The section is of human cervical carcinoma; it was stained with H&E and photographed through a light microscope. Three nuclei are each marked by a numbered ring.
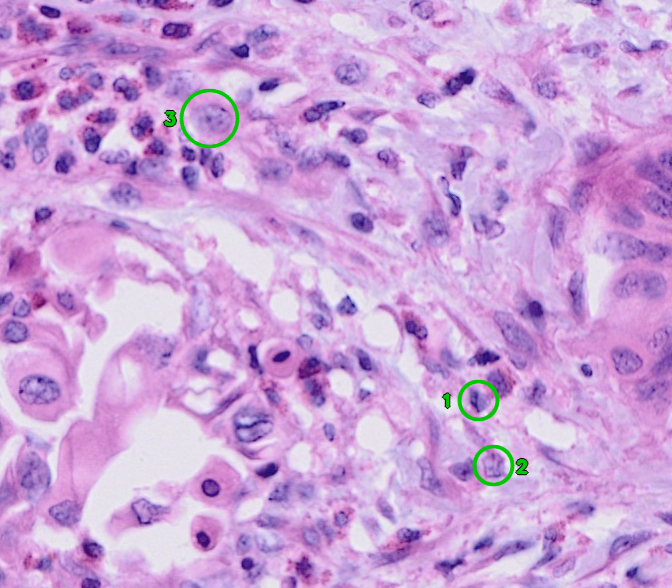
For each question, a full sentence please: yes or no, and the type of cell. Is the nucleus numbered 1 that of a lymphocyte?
Yes, the cell distinguished by number 1 is a lymphocyte.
